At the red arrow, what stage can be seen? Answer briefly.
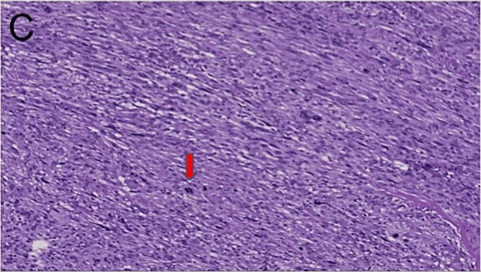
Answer: Mitoses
